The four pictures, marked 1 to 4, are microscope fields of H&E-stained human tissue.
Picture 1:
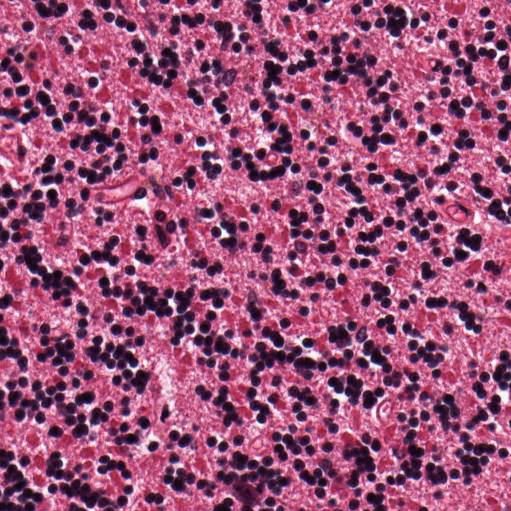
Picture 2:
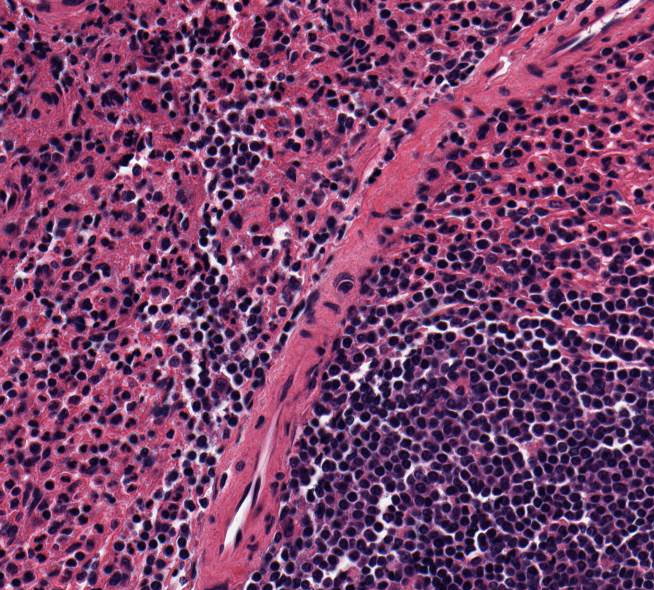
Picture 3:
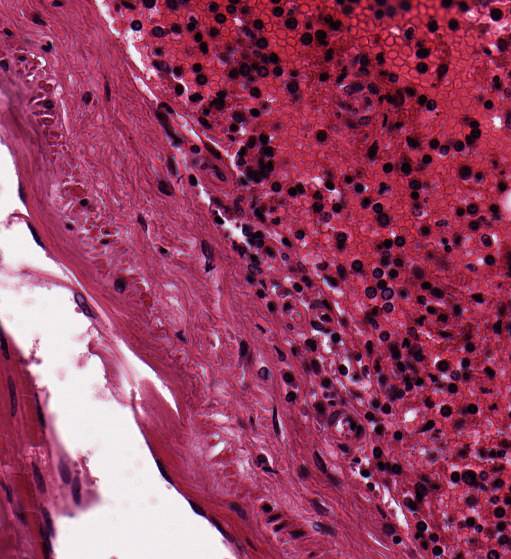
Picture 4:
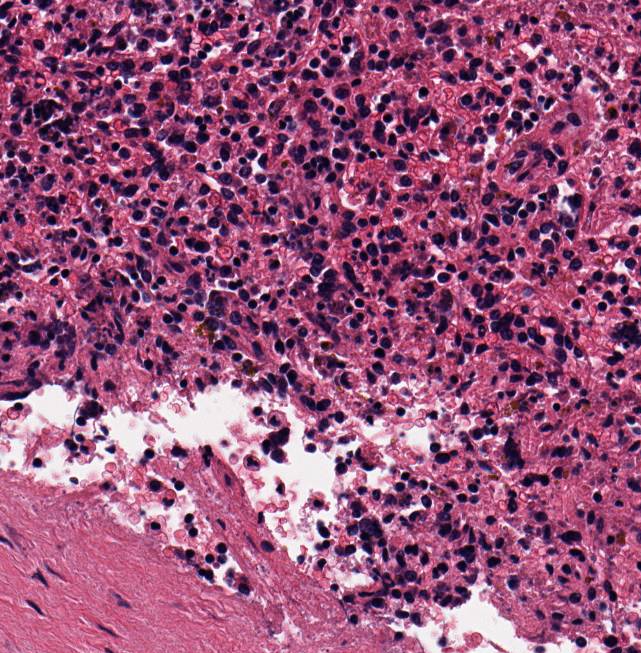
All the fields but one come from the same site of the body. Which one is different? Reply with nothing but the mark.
1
